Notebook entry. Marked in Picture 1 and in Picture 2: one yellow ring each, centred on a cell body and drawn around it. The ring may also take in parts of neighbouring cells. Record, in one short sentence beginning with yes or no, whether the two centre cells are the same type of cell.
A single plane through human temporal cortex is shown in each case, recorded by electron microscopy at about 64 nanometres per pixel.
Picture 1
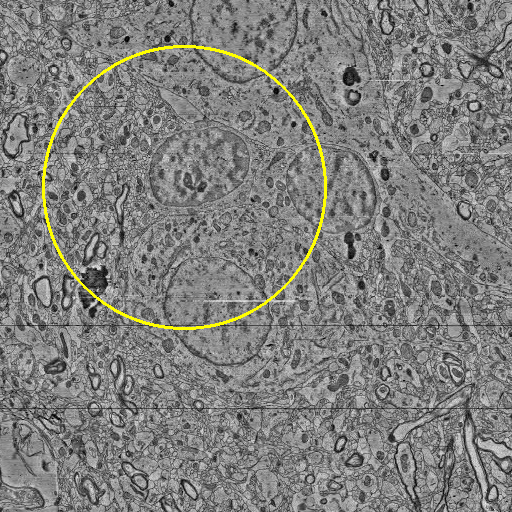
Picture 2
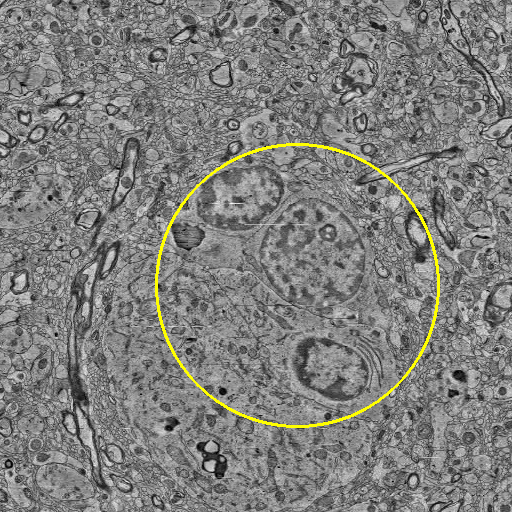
Yes, both are the same type of cell.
